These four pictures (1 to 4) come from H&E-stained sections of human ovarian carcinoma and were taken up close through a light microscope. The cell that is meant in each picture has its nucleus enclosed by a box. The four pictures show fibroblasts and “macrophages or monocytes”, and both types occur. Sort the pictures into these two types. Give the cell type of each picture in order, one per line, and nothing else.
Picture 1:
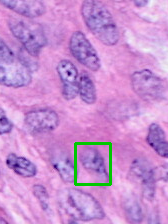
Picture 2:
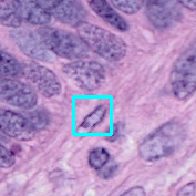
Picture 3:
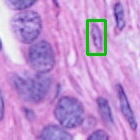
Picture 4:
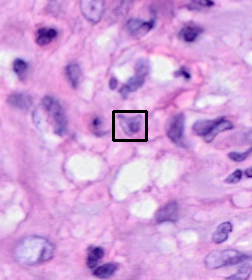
fibroblast
fibroblast
fibroblast
macrophage or monocyte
